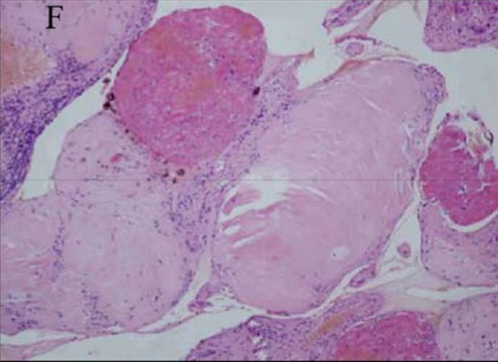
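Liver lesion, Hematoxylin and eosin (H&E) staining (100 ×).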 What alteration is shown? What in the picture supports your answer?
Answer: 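Large pale pink areas that are glassy, homogeneous and nearly free of nuclei. These pale areas form rounded nodules separated by clefts. The answer: hyaline degeneration.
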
